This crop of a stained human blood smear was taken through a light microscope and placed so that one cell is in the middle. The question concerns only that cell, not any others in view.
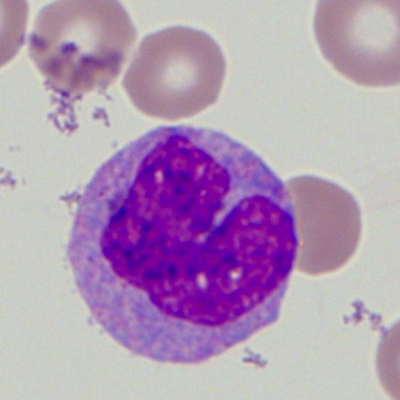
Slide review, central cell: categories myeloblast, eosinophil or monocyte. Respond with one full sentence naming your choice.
The cell centred in this crop is categorized as a monocyte.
